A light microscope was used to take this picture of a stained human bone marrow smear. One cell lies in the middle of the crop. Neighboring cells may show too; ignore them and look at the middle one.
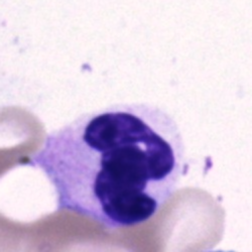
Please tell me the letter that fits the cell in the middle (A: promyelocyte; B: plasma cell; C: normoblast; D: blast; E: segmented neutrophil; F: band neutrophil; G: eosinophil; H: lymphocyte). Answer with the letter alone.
E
